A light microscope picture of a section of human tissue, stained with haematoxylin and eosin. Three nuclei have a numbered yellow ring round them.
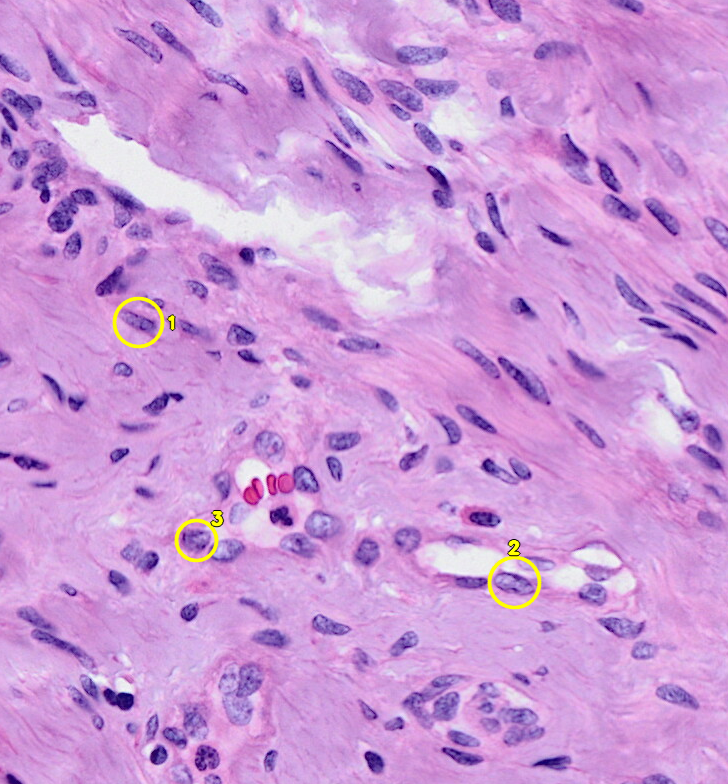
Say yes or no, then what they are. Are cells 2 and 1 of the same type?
No, cell 2 is an endothelial cell and cell 1 is a smooth muscle cell.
